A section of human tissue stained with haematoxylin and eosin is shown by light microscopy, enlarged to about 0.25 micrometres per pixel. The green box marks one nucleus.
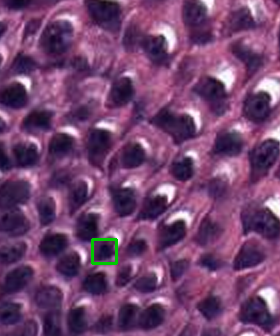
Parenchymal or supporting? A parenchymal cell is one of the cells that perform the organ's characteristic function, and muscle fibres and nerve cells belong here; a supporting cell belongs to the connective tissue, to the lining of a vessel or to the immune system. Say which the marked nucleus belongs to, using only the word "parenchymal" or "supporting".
parenchymal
